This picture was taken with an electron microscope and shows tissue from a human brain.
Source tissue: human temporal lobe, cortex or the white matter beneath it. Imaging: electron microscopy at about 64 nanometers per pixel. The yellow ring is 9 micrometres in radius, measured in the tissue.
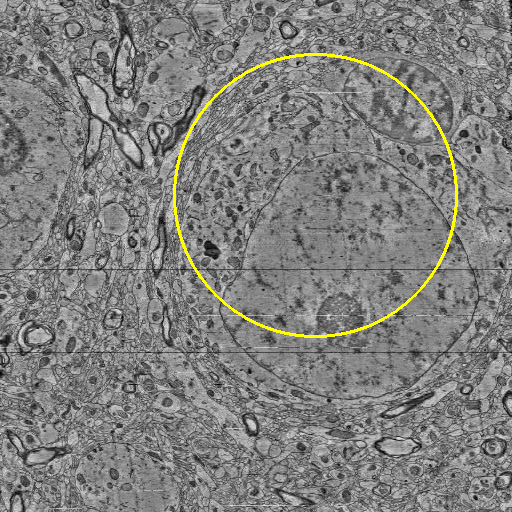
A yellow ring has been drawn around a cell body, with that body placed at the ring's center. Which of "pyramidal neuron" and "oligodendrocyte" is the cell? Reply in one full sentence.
In this picture, a pyramidal neuron is the cell at the center of the yellow ring.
